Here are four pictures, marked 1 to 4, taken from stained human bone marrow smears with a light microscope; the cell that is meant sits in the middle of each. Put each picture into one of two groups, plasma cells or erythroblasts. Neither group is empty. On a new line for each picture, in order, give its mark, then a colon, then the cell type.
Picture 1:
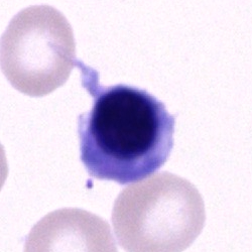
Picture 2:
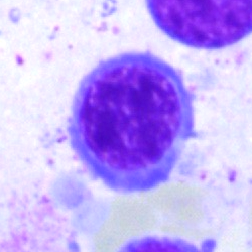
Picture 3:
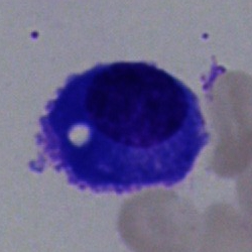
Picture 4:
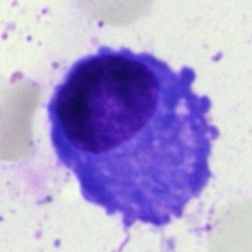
1: erythroblast
2: erythroblast
3: plasma cell
4: plasma cell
